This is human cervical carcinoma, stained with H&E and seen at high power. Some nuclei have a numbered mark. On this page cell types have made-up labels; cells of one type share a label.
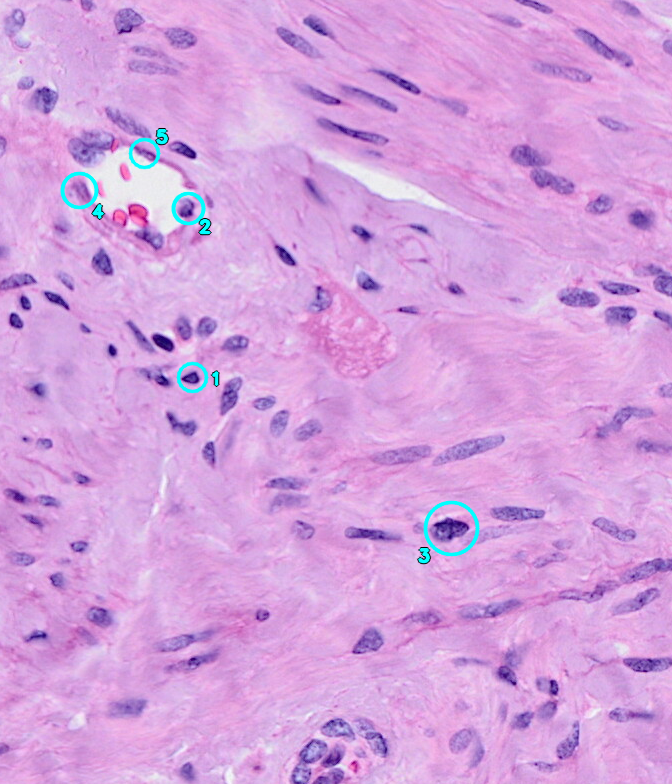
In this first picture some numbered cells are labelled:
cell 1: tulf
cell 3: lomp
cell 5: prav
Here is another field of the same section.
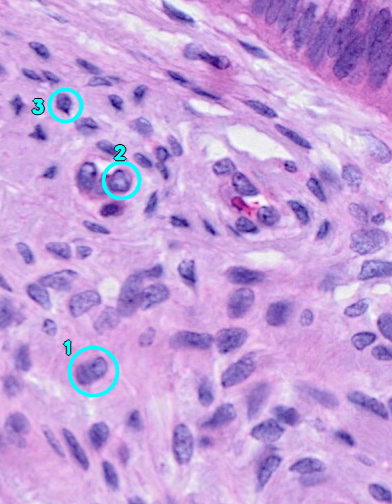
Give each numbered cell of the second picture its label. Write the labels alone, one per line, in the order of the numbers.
tulf
prav
tulf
